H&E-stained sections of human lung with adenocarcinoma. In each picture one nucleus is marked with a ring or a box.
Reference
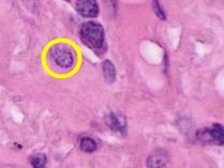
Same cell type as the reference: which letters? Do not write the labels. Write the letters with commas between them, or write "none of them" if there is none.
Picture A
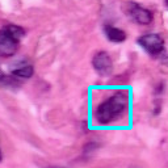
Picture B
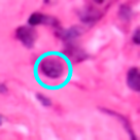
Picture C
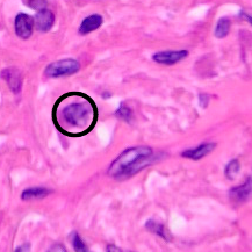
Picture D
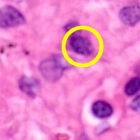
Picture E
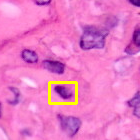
E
